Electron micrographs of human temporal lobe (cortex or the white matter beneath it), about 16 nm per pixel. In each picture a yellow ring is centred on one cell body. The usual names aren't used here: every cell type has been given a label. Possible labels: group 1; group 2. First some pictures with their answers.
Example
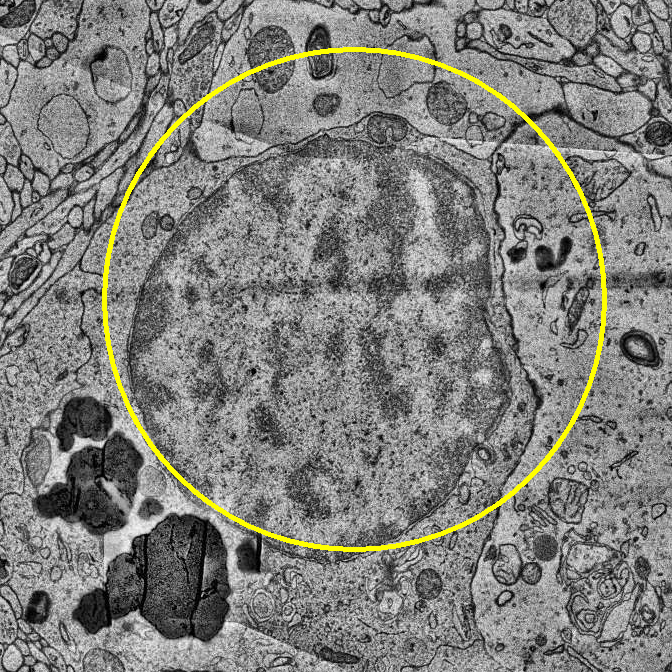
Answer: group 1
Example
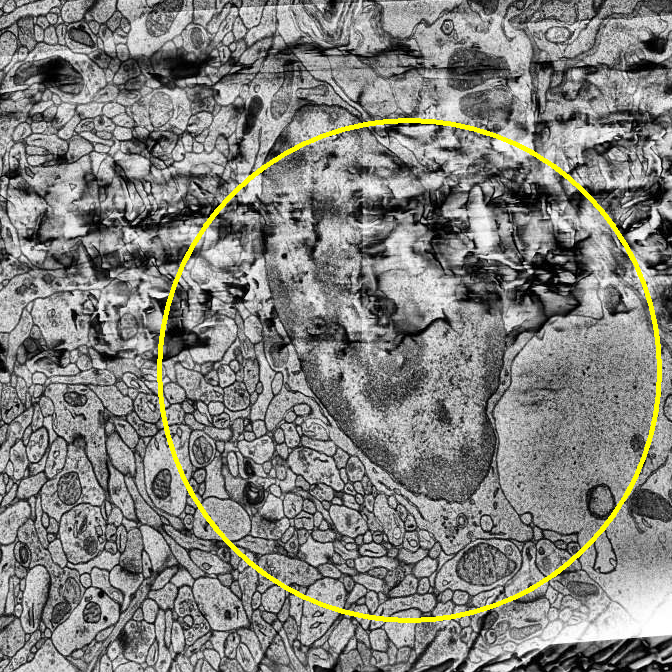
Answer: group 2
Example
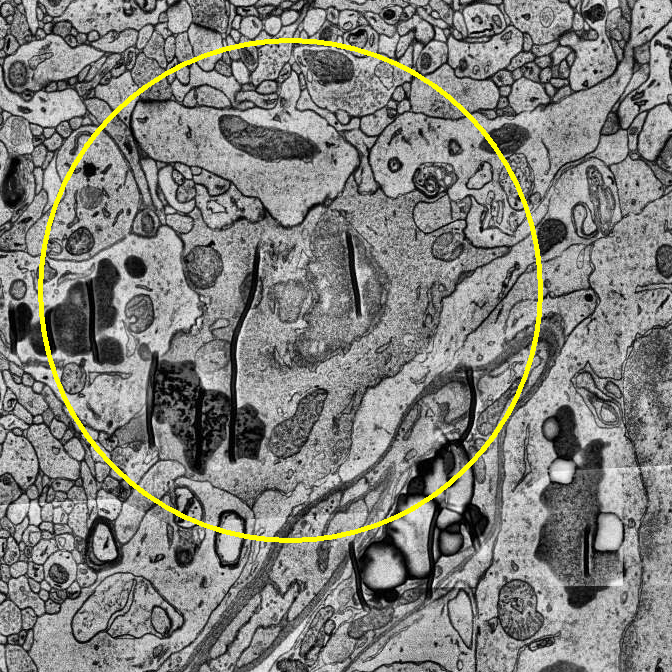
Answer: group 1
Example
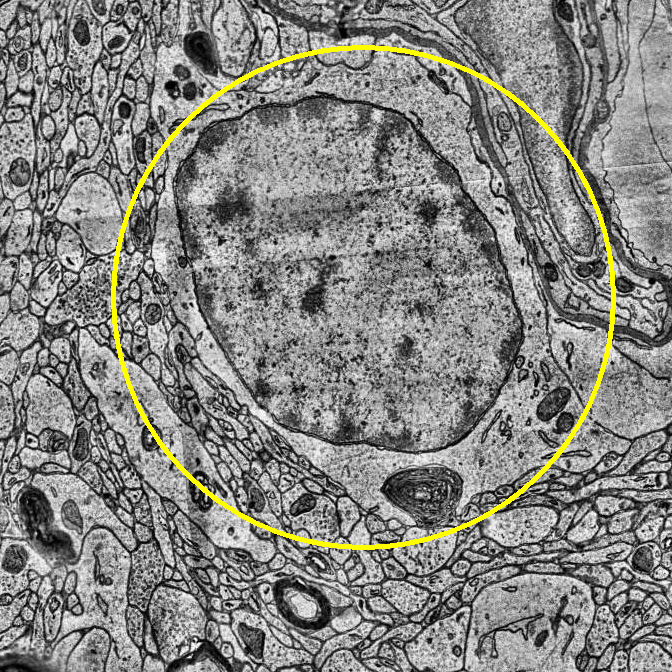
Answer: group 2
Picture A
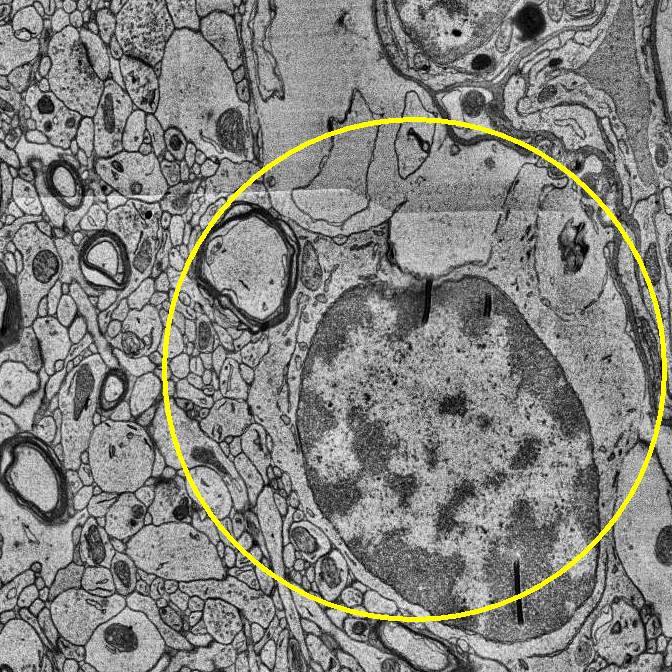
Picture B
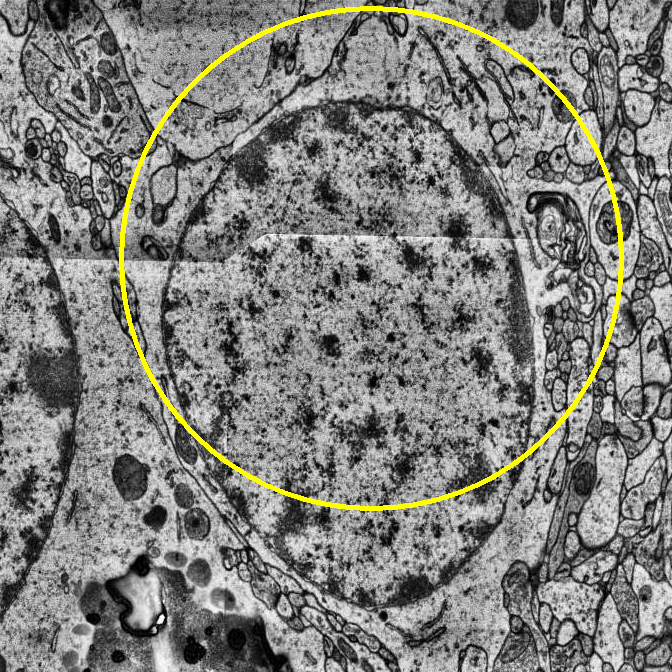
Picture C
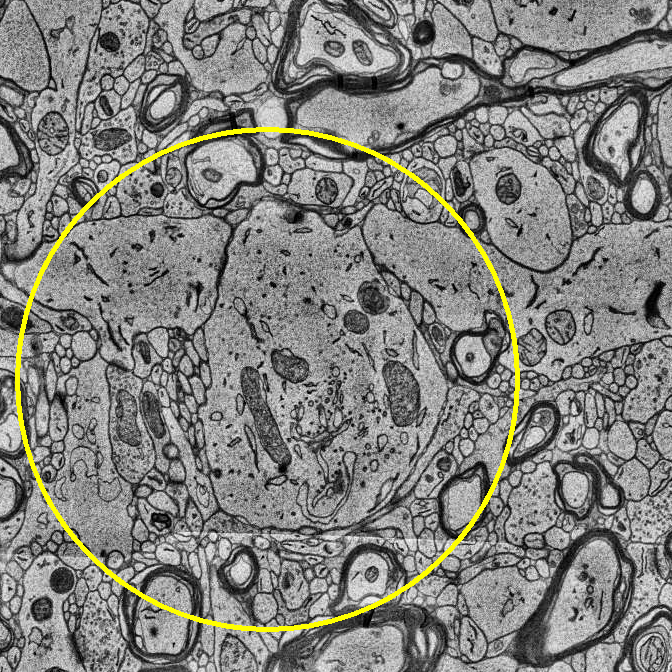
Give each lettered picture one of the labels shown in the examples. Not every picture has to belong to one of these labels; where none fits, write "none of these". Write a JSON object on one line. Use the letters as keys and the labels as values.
{"A": "group 2", "B": "none of these", "C": "group 2"}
